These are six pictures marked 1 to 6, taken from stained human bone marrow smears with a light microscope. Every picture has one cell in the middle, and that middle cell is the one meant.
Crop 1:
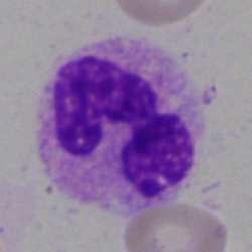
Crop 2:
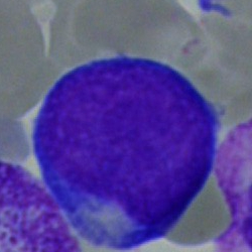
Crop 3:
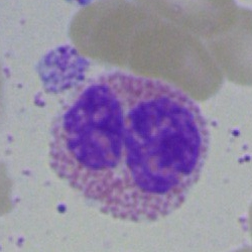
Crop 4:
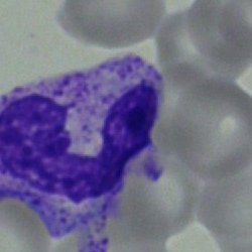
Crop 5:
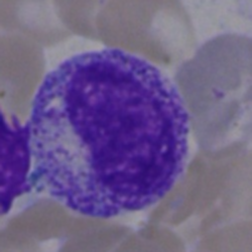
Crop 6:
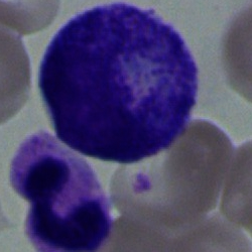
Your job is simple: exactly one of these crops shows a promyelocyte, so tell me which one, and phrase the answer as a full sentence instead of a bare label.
Within this set, crop 6 is the one with a promyelocyte at its center.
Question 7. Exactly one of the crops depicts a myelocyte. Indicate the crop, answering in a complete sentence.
Crop 5 is where a myelocyte is shown.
